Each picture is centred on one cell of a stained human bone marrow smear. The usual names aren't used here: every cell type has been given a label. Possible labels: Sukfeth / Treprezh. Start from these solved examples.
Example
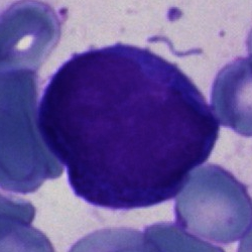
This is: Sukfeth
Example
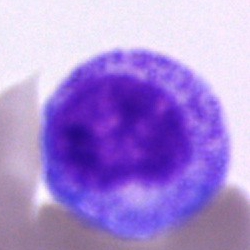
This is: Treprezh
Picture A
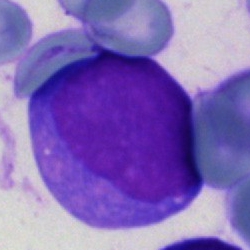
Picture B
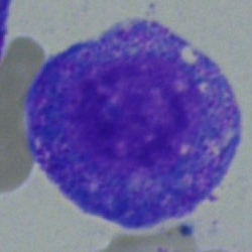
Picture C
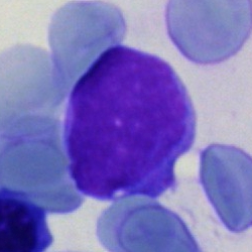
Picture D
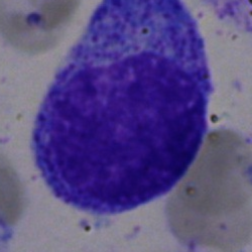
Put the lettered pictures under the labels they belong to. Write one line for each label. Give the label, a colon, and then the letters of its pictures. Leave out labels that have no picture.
Sukfeth: A, C
Treprezh: B, D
